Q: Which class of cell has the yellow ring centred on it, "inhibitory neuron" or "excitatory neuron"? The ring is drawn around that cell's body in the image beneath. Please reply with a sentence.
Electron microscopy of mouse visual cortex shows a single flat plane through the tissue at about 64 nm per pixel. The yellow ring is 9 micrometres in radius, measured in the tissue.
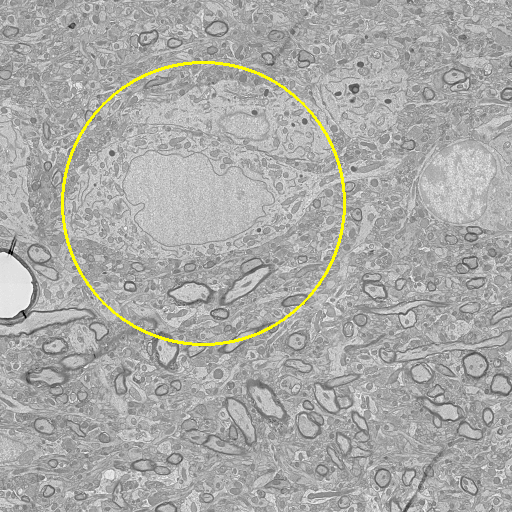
It is centred on an inhibitory neuron.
